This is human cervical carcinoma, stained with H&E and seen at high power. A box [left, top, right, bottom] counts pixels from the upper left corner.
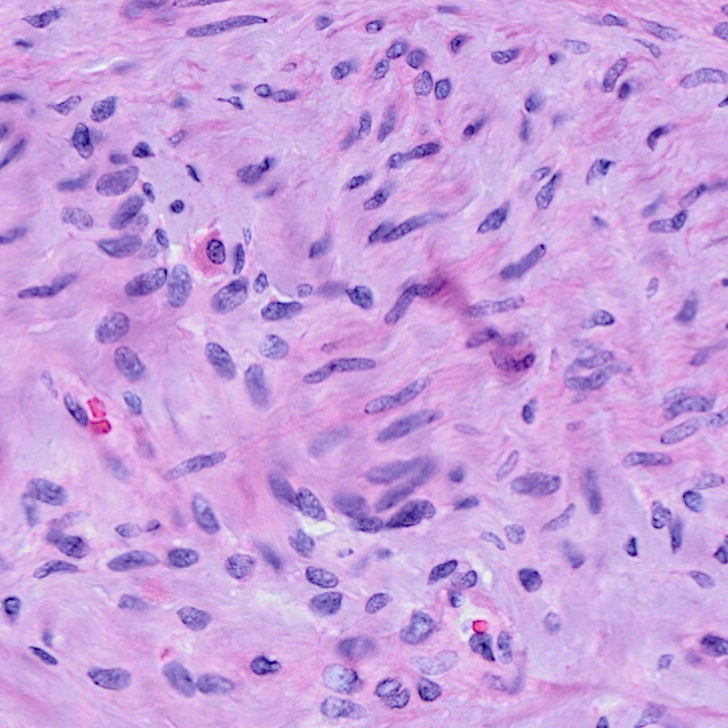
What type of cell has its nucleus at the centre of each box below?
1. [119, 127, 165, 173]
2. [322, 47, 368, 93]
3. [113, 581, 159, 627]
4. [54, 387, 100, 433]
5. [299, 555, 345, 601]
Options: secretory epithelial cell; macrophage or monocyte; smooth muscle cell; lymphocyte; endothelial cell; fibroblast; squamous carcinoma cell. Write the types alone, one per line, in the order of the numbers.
fibroblast
smooth muscle cell
fibroblast
endothelial cell
fibroblast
